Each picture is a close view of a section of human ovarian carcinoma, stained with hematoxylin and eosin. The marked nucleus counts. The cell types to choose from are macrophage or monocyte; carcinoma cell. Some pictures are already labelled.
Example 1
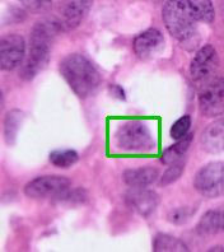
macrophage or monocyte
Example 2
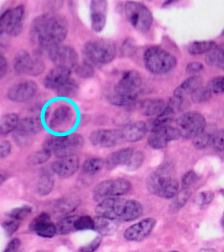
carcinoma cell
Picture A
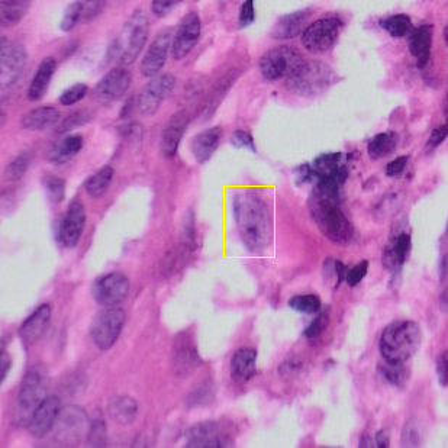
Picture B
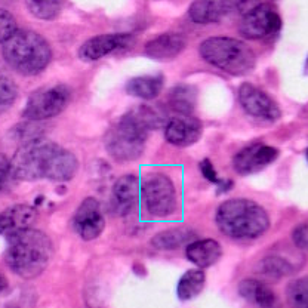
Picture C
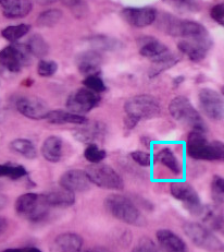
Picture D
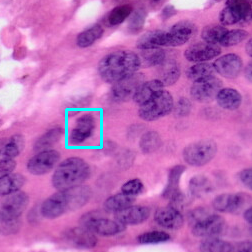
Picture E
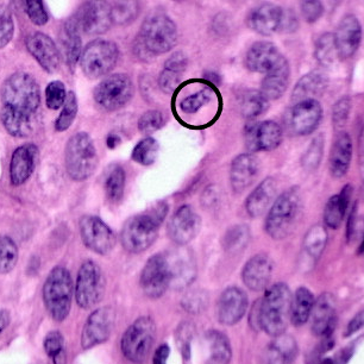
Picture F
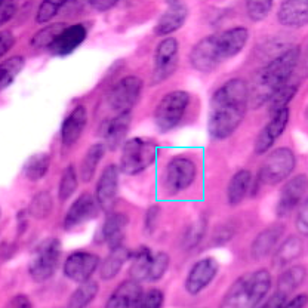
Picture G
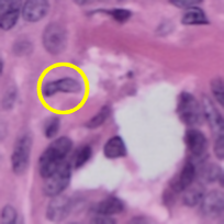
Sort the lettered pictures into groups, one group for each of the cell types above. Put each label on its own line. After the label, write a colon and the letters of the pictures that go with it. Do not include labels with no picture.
macrophage or monocyte: A, D, E, F, G
carcinoma cell: B, C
